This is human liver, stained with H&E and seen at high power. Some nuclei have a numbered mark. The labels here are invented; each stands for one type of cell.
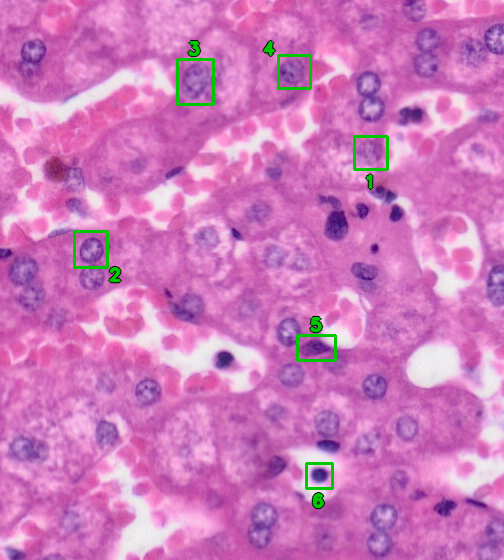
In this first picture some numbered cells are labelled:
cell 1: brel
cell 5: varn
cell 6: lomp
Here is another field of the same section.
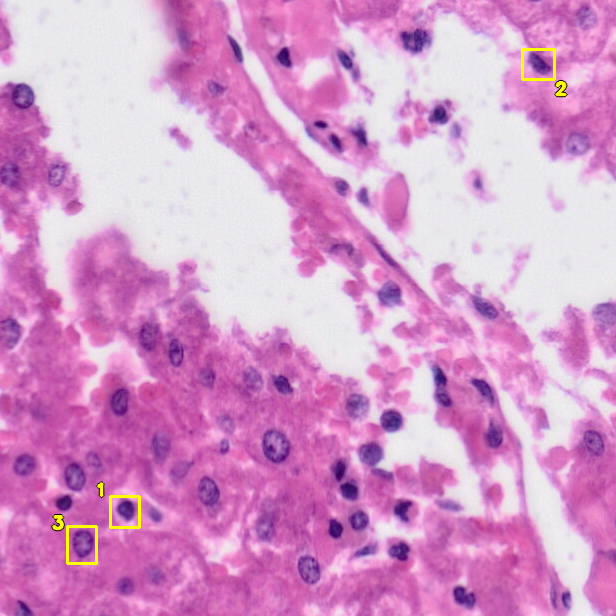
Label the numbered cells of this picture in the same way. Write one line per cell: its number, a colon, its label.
1: lomp
2: varn
3: brel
